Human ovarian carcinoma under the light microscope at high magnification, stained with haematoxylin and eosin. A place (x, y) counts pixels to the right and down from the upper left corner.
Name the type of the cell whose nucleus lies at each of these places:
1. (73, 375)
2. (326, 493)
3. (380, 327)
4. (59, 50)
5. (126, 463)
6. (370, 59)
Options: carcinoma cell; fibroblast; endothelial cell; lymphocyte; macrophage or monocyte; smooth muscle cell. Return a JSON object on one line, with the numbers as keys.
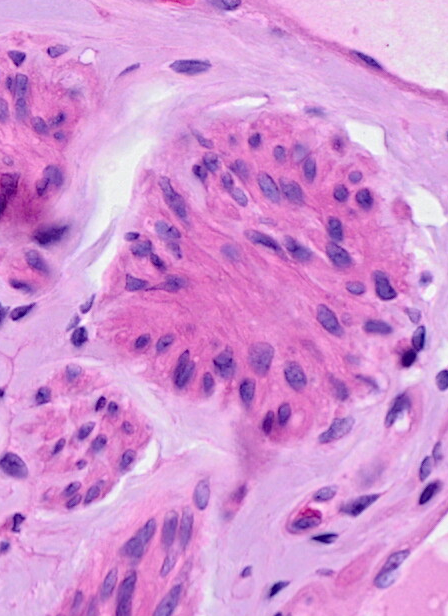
{"1": "smooth muscle cell", "2": "endothelial cell", "3": "smooth muscle cell", "4": "smooth muscle cell", "5": "smooth muscle cell", "6": "endothelial cell"}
